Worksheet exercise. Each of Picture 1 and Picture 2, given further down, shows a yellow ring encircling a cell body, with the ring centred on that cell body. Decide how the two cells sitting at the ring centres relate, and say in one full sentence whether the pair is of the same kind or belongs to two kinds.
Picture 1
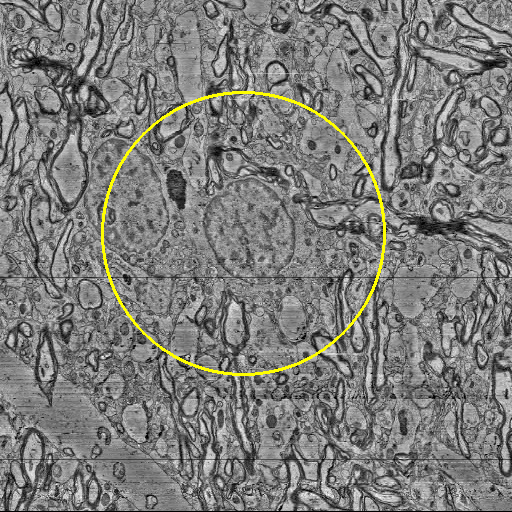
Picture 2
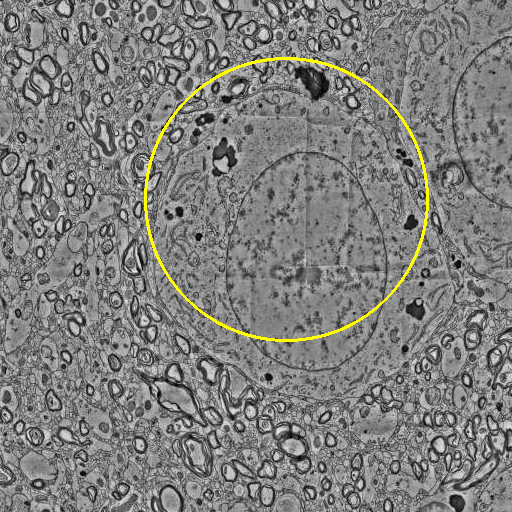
The cells at the ring centres in Picture 1 and Picture 2 belong to two kinds.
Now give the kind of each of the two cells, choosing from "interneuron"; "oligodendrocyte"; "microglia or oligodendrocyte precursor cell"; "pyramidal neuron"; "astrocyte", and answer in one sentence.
The cell in the first picture is an oligodendrocyte, and the cell in the second is a pyramidal neuron.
